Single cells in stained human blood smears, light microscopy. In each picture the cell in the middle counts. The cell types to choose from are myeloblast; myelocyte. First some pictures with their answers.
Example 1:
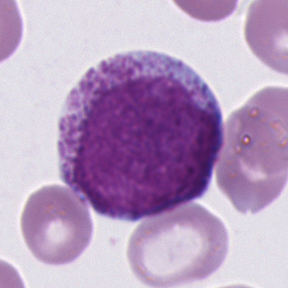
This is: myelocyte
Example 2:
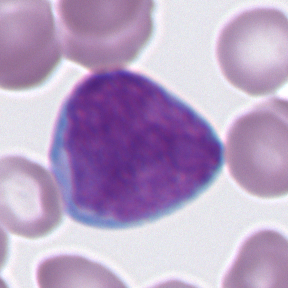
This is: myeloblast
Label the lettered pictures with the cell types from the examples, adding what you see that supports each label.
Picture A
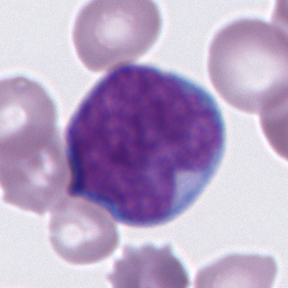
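myeloblast. Reason: The cytoplasm rim is deep blue.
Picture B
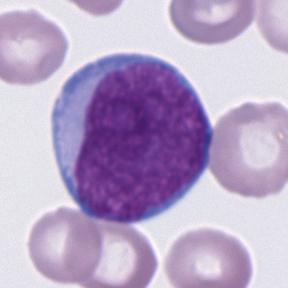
myeloblast. Reason: The cytoplasm is blue and deepest in colour at the outer edge of the cell.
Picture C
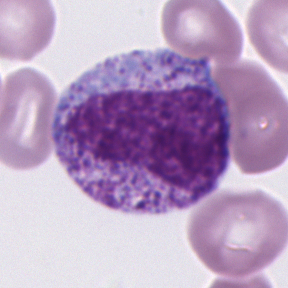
myelocyte. Reason: Many dark purple granules are scattered through the cytoplasm.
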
